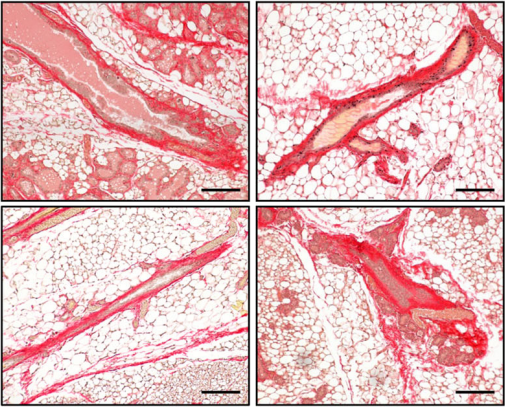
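These are sections of mammary gland in which ducts run through fat tissue made of large, rounded, pale fat cells. Dense bright red fibres form sleeves around the ducts, while finer red strands outline individual fat cells and the septa between lobules. Some ducts are wide with pale pink material in their lumens, and small glandular clusters appear pinkish among the fat. In some fields the red periductal bands are broad and spill into the surrounding stroma.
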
